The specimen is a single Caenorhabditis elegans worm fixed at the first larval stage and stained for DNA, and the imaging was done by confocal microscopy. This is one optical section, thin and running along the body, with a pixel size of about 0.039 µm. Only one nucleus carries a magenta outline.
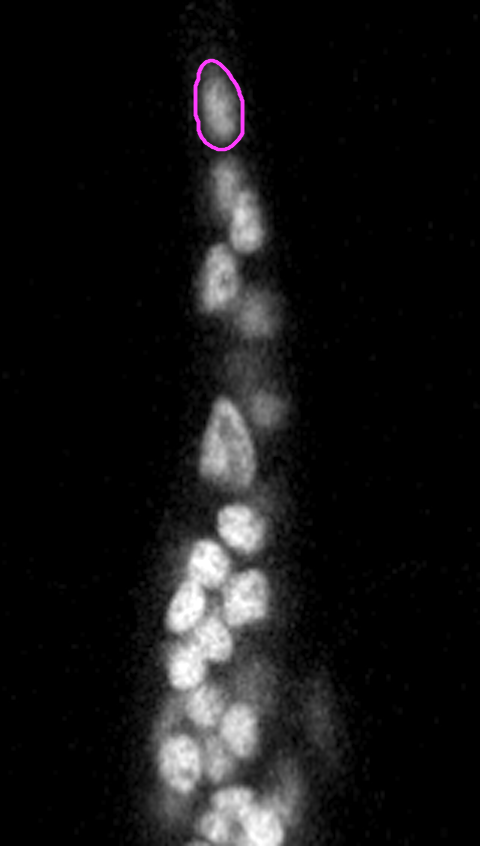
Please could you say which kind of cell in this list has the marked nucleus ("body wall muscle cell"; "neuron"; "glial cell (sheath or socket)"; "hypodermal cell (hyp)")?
hypodermal cell (hyp)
